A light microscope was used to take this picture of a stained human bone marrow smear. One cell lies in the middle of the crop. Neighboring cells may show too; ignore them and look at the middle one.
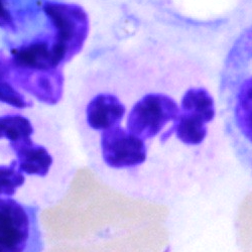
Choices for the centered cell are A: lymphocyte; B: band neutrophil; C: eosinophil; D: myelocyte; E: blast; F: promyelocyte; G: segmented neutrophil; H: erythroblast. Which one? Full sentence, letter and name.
Option G is correct, and the cell in the centre is a segmented neutrophil.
